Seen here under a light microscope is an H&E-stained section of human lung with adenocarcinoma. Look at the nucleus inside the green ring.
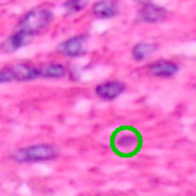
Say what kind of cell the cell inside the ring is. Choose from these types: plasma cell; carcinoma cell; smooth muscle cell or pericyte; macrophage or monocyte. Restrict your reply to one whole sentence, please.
In the stained section, the cell inside the ring is a smooth muscle cell or pericyte.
